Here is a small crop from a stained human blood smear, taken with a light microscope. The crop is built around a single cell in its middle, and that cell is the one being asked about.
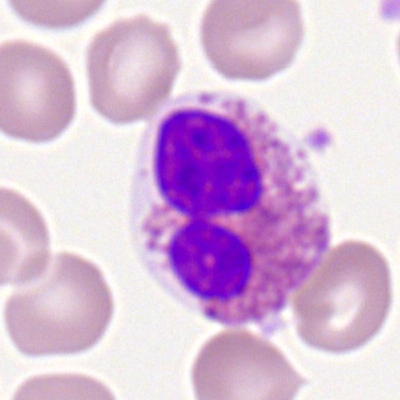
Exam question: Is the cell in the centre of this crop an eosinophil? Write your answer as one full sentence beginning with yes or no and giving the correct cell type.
Yes, the centered cell in this field is an eosinophil.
